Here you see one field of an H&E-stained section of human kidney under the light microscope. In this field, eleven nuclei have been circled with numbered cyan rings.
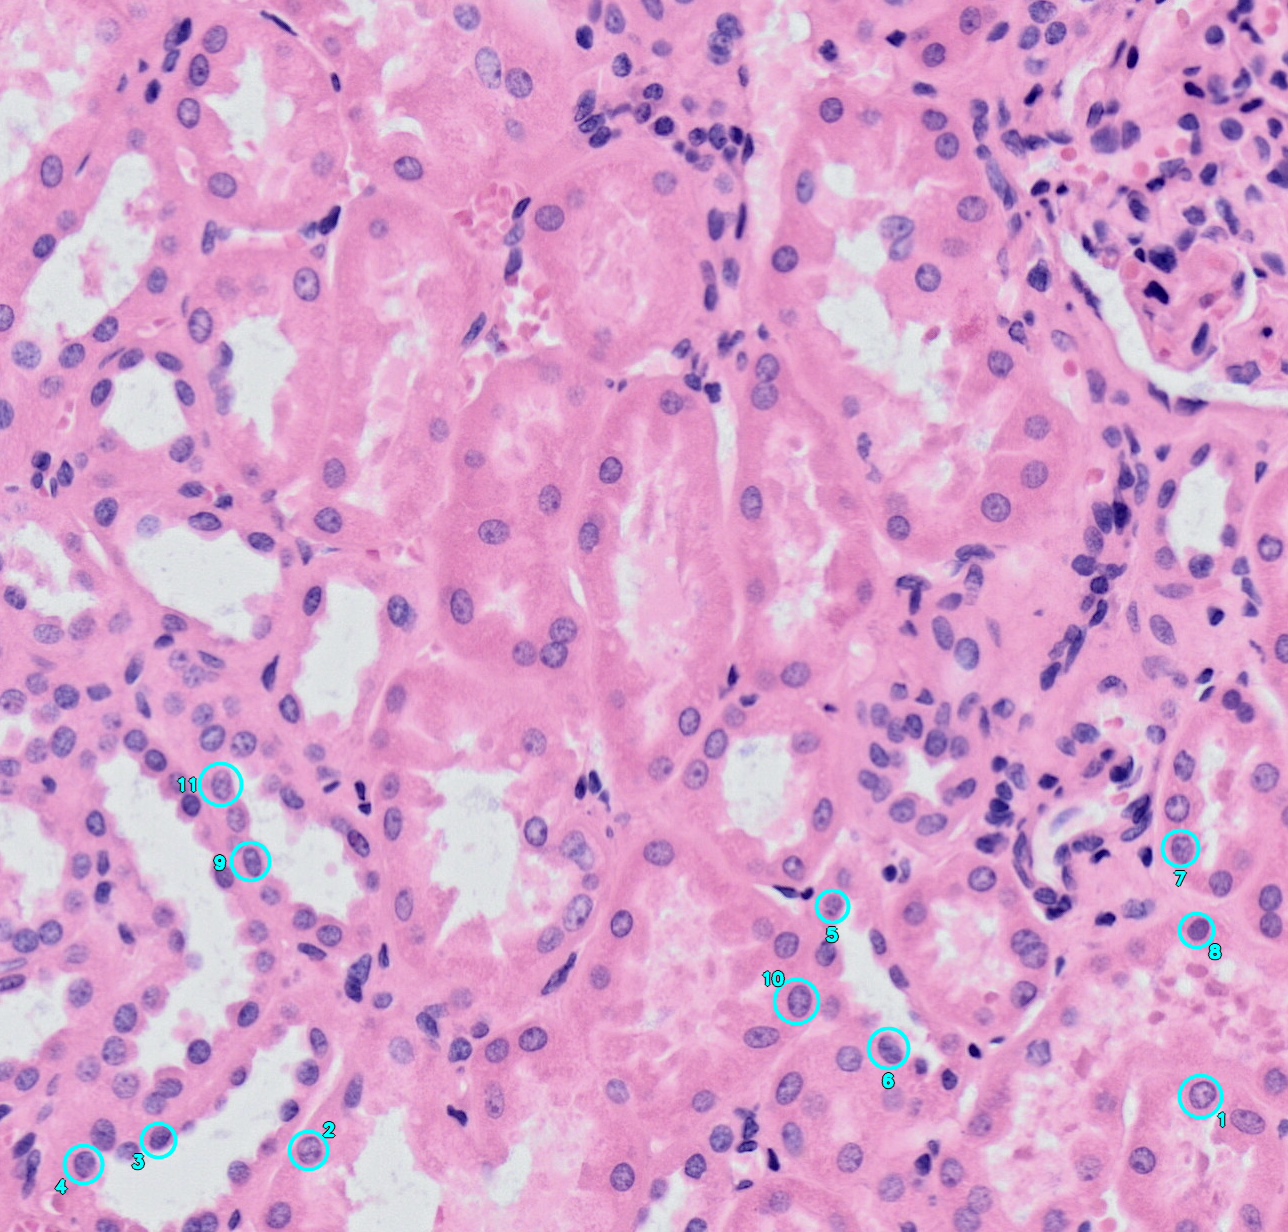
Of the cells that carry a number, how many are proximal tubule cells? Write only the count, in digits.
5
